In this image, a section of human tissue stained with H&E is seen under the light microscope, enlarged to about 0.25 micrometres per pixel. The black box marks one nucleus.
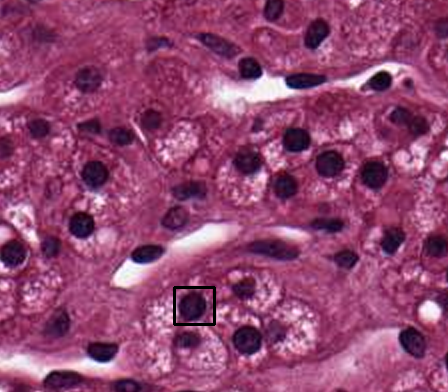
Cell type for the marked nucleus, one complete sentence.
A nucleus of an adrenal cortical cell is the one that is marked.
